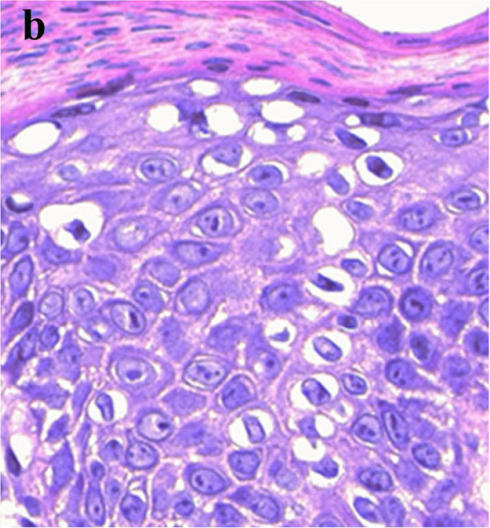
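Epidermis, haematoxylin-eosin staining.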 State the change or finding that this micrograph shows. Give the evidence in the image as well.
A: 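Many keratinocytes have clear, empty spaces around their nuclei. The clear spaces lie in the cell layers below the pink cornified layer. Nuclei are displaced or indented next to the clear spaces.
Answer: perinuclear vacuolization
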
